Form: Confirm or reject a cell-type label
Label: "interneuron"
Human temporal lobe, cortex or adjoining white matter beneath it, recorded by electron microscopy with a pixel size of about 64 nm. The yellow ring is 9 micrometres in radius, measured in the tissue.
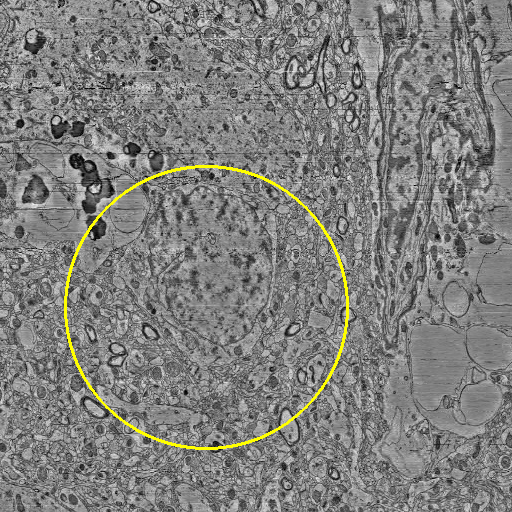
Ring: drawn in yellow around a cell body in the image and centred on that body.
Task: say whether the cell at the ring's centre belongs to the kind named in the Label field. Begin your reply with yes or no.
Yes, it belongs to that kind.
